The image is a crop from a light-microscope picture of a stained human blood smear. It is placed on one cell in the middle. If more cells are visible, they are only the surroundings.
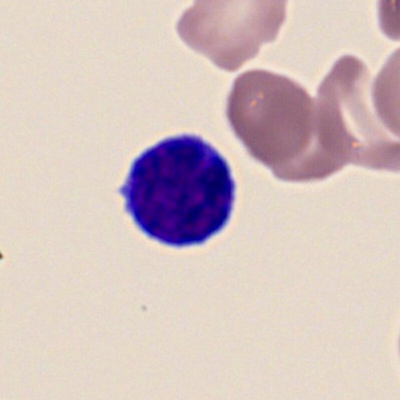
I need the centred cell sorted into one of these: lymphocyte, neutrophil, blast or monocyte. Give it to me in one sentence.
The single cell at the center of the crop is a lymphocyte.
